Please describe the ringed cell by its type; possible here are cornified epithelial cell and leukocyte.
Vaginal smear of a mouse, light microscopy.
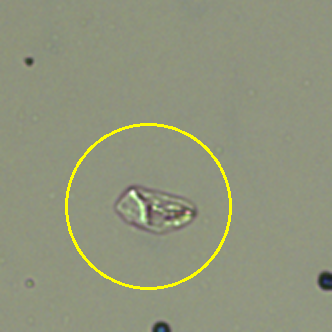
The yellow ring marks a cornified epithelial cell.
